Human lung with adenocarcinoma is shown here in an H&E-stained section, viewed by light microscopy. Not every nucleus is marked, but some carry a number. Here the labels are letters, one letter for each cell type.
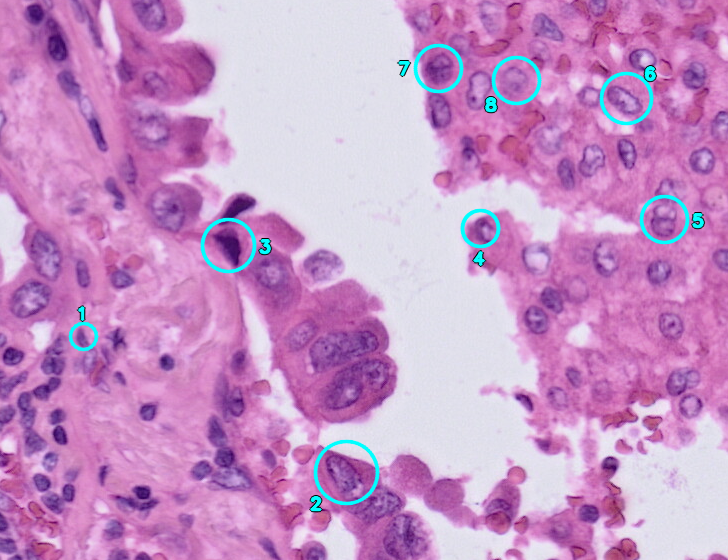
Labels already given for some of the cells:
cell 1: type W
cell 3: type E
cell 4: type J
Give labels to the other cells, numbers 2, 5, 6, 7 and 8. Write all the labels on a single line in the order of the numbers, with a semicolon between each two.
type E; type J; type J; type J; type J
